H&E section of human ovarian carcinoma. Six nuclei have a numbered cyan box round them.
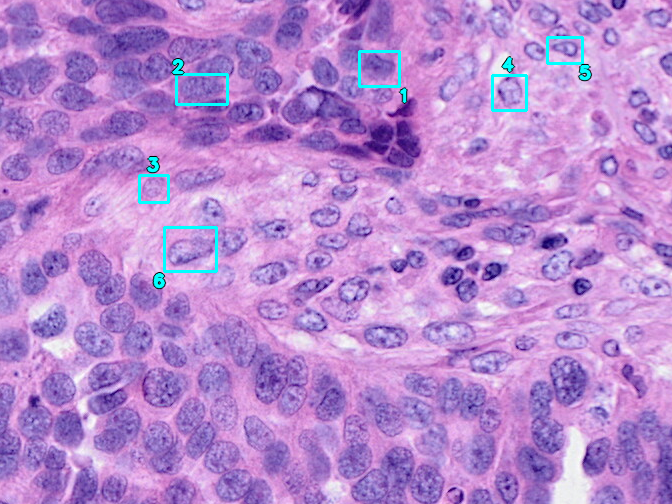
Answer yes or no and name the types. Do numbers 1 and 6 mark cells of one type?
No, cell 1 is a carcinoma cell, and cell 6, for its part, is a fibroblast.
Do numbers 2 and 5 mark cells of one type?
No, cell 2 is recognized as a carcinoma cell, and cell 5 as a fibroblast.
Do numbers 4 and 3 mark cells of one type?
Yes, of the numbered cells, 4 and 3 are both fibroblasts.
